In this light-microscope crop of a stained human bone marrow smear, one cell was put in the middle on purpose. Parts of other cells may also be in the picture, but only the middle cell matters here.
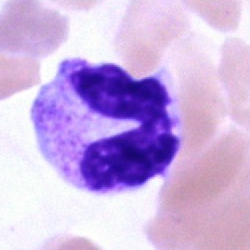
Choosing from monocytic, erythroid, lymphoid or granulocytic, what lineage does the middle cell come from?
granulocytic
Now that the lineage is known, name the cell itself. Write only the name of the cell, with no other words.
segmented neutrophil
